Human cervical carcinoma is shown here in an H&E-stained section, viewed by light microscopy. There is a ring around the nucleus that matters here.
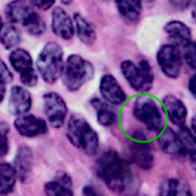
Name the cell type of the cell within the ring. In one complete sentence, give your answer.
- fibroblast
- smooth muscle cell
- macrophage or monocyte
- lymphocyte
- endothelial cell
It is as a lymphocyte that the cell within the ring is recorded.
